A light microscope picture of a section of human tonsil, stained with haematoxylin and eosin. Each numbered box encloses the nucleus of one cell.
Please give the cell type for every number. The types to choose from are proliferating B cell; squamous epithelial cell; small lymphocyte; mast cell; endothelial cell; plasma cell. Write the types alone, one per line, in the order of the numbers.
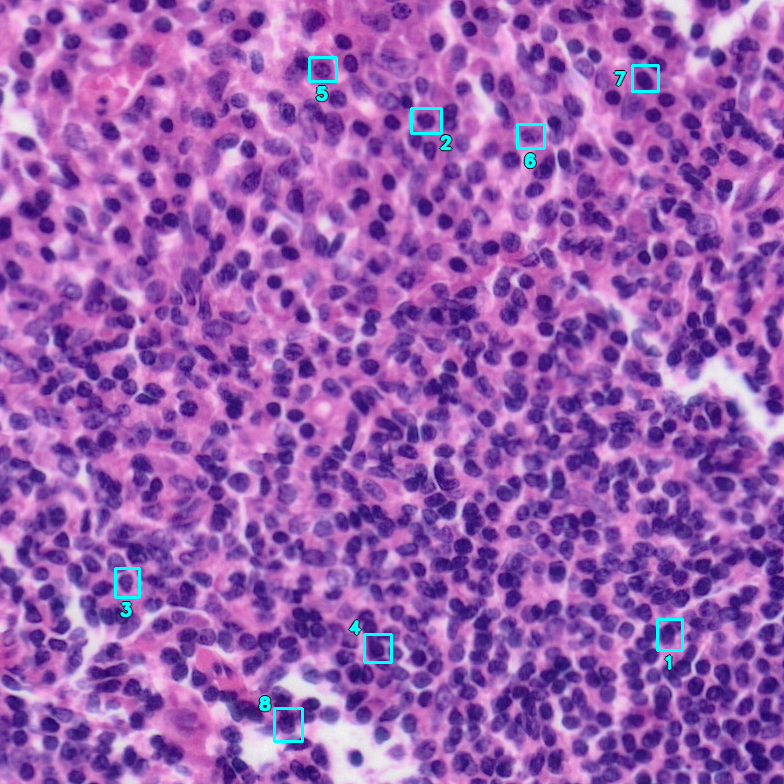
small lymphocyte
plasma cell
small lymphocyte
small lymphocyte
plasma cell
plasma cell
plasma cell
small lymphocyte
